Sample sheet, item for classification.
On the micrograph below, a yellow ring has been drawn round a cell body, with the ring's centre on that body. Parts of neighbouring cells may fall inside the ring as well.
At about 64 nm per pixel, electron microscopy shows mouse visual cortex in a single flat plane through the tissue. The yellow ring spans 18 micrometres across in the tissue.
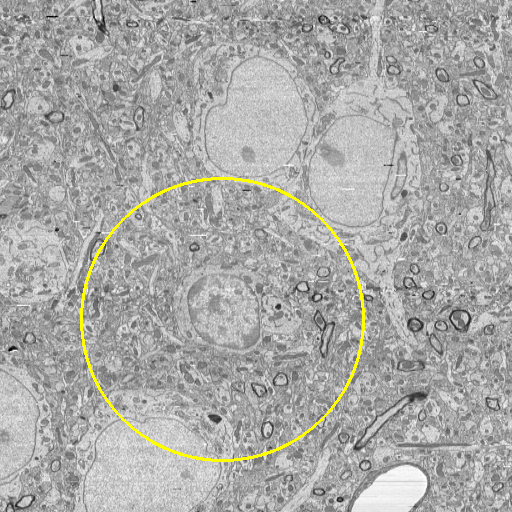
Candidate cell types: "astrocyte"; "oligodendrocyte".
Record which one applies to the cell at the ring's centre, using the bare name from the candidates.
oligodendrocyte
